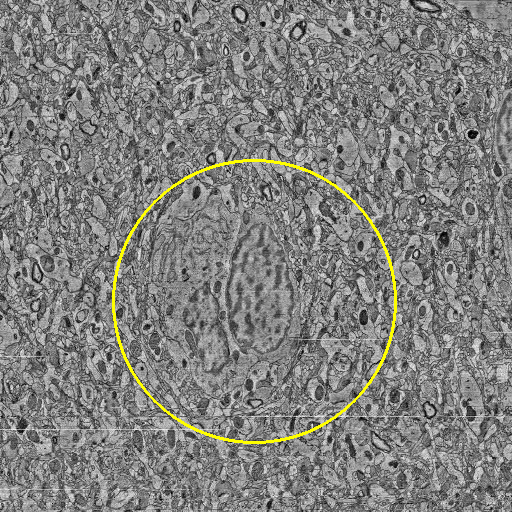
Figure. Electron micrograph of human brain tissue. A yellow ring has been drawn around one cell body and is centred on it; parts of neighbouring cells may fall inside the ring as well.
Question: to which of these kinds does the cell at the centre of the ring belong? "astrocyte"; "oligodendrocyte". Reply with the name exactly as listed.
oligodendrocyte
